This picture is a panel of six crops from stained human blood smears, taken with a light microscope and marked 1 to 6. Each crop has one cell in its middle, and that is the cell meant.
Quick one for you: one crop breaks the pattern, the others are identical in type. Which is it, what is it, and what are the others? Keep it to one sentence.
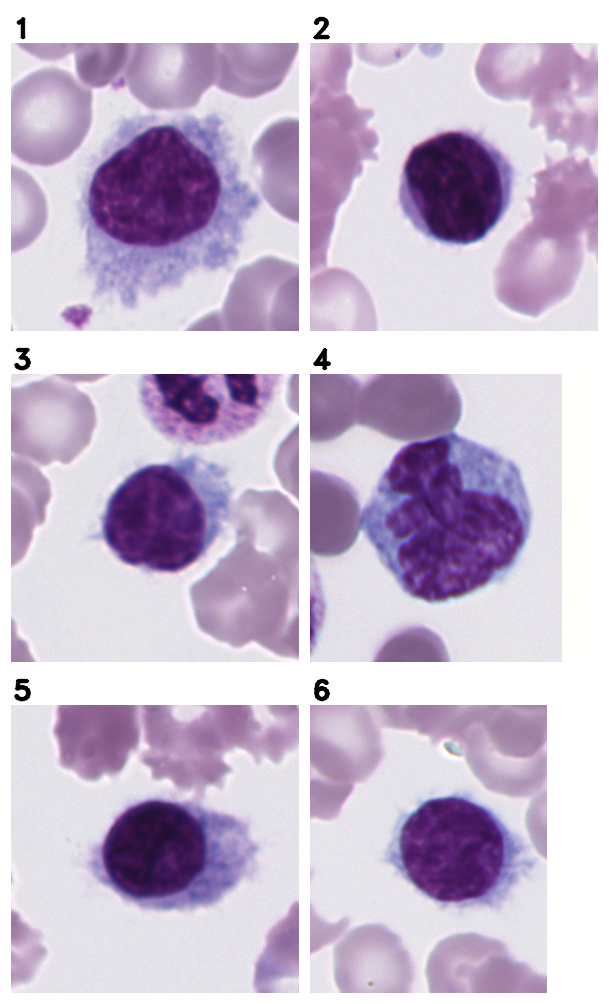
Crop 4 is the different one, a monocyte, while the rest are hairy cells.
